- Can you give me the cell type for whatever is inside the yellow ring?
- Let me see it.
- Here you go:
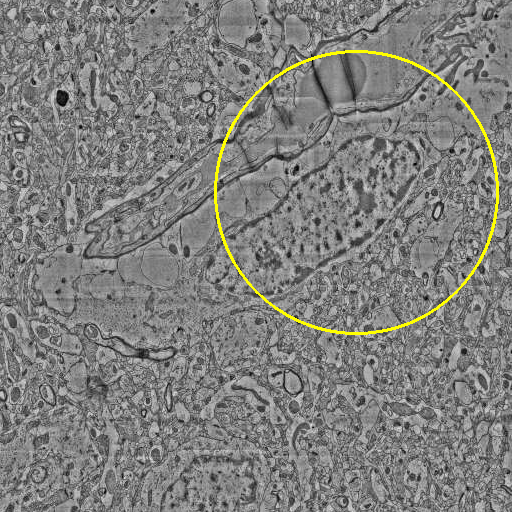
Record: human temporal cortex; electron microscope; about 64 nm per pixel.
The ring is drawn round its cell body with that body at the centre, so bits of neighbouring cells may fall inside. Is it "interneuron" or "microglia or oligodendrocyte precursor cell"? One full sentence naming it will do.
The cell body in the middle of the ring in this picture belongs to a microglial cell or oligodendrocyte precursor cell.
